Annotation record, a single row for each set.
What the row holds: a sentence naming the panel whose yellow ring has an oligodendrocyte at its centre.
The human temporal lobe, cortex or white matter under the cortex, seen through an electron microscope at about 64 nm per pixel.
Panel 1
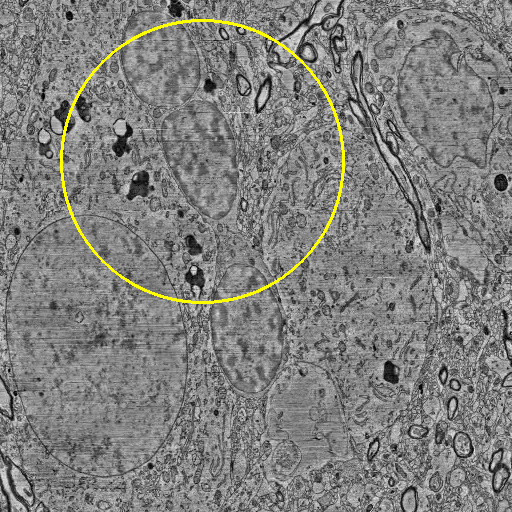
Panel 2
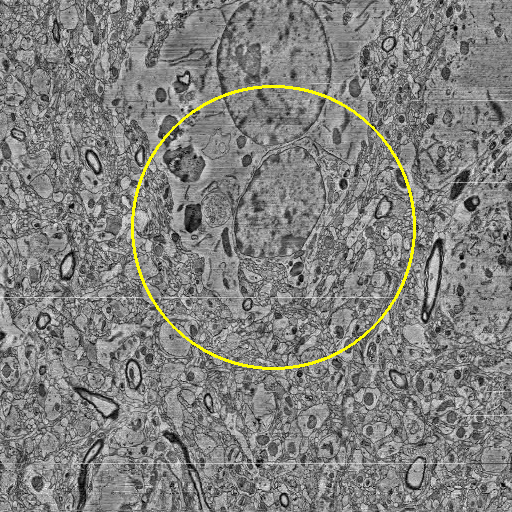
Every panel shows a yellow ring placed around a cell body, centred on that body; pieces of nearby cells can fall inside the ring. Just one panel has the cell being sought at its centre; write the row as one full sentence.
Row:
In panel 1, the cell at the middle of the yellow ring is the one sought.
